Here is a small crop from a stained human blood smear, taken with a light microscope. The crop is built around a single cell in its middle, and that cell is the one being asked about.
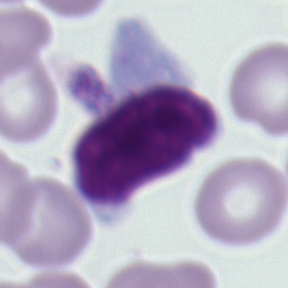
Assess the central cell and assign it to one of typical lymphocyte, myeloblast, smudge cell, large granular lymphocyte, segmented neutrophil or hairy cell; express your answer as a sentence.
Centred in the crop is a typical lymphocyte.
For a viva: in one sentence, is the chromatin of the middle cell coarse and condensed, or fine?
Take a look at the chromatin, which is coarsely clumped.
